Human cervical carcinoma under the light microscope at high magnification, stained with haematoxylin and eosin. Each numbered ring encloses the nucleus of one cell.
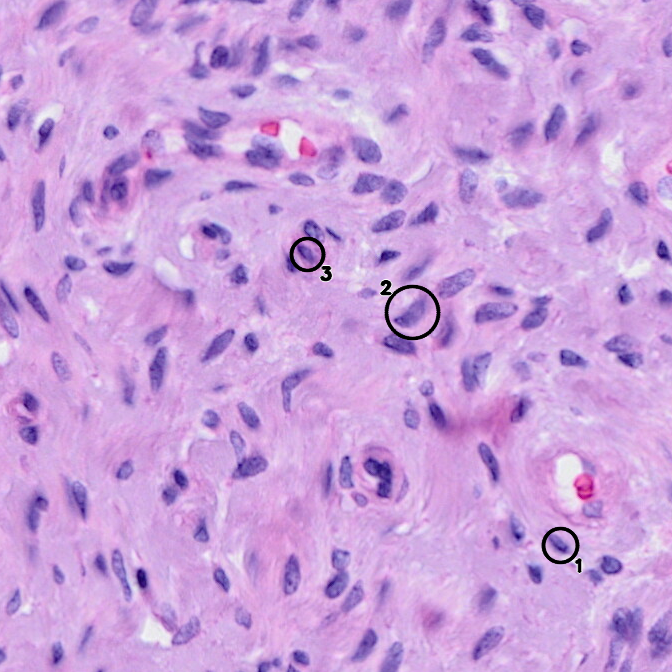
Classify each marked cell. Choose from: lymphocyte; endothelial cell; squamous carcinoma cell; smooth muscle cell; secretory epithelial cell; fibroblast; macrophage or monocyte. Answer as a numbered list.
1. fibroblast
2. fibroblast
3. endothelial cell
